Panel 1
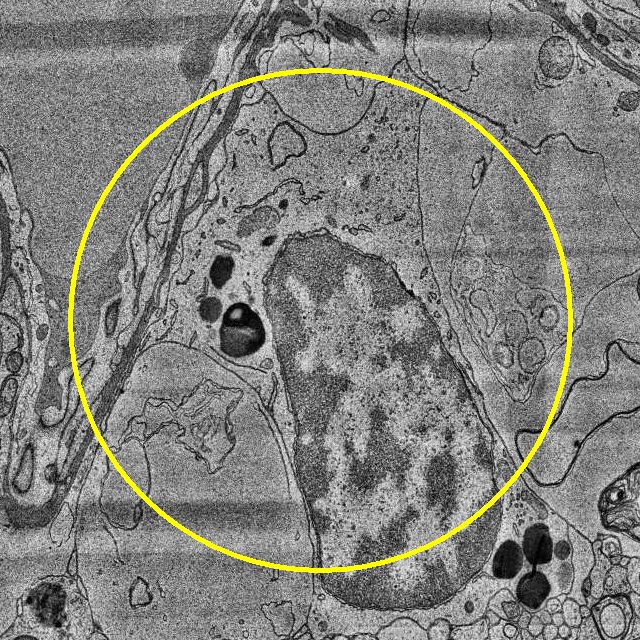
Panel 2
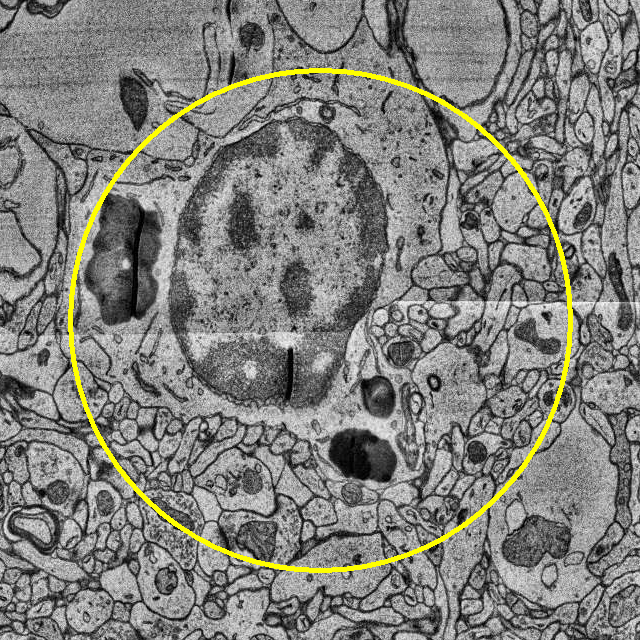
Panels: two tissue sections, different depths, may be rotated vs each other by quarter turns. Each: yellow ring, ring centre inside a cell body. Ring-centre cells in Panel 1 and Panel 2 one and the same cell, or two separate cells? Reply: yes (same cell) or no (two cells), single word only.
yes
